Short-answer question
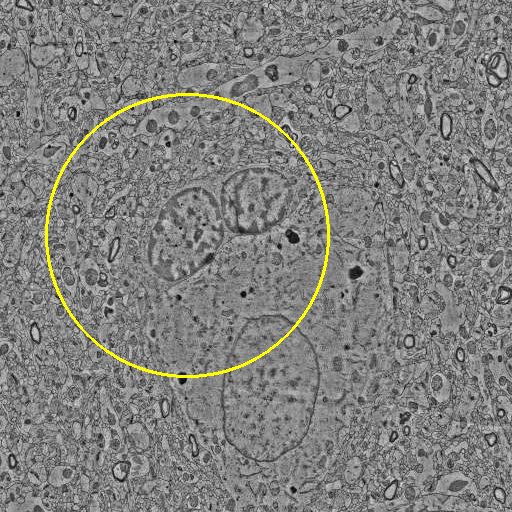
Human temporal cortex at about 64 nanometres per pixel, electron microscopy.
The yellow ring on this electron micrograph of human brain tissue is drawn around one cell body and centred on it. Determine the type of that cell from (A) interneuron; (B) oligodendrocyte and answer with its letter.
B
